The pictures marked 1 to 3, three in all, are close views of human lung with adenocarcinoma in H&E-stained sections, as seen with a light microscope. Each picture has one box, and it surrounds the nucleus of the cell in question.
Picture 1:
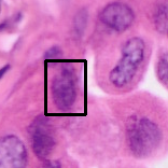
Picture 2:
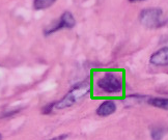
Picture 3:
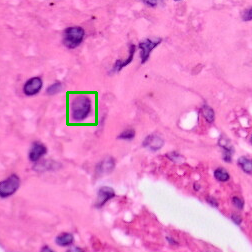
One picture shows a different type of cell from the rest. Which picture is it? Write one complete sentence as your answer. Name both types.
Picture 1 differs, because its cell is a carcinoma cell and the rest are plasma cells.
